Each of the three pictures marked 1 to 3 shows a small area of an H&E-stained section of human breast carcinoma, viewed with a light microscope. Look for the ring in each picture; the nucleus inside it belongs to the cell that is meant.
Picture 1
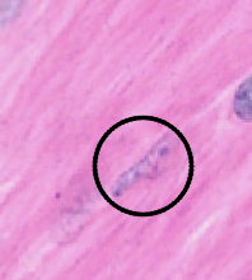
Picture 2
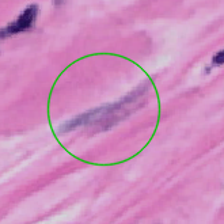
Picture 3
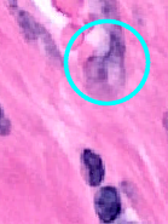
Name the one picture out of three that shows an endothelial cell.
3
